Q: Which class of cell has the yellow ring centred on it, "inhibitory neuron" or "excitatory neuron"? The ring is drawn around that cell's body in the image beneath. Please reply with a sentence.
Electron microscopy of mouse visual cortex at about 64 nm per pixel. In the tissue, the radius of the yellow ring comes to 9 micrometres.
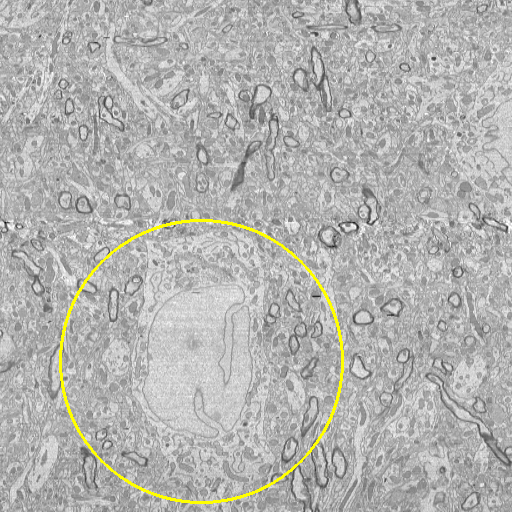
It is centred on an inhibitory neuron.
